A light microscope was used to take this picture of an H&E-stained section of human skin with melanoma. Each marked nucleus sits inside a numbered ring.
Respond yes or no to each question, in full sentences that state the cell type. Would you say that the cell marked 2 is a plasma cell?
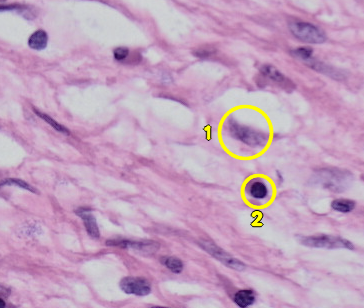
Yes, the cell whose number is 2 is a plasma cell.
